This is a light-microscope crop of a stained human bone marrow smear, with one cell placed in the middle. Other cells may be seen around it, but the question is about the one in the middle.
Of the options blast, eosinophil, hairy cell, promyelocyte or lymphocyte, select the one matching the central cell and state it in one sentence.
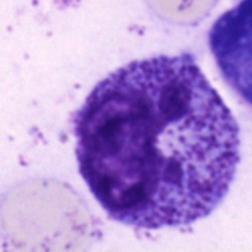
Centrally within this crop lies a promyelocyte.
